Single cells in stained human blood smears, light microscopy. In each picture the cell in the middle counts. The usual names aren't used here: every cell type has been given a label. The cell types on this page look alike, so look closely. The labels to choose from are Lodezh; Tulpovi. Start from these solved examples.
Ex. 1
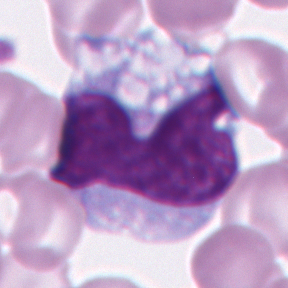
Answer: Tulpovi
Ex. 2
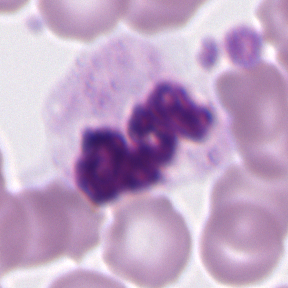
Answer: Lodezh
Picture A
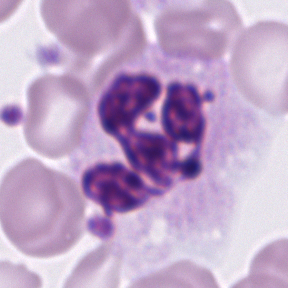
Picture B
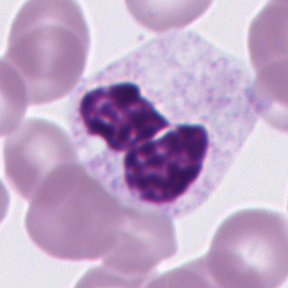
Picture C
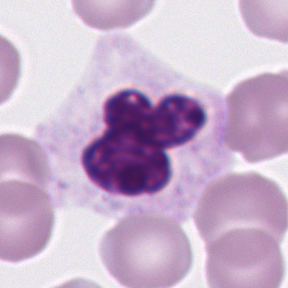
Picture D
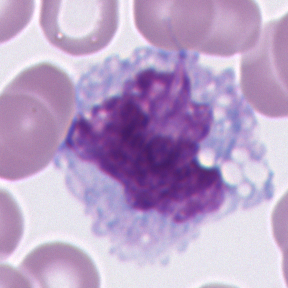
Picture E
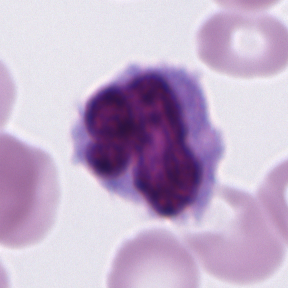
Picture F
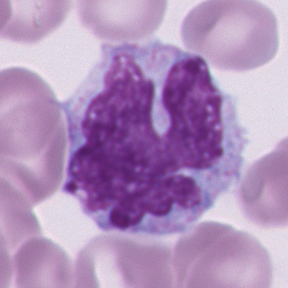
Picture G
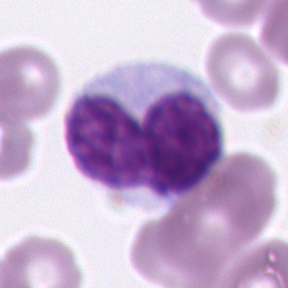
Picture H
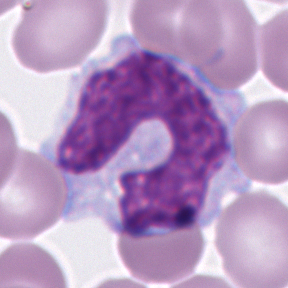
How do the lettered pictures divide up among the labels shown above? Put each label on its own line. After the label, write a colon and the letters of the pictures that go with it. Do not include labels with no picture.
Lodezh: A, B, C
Tulpovi: D, E, F, G, H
